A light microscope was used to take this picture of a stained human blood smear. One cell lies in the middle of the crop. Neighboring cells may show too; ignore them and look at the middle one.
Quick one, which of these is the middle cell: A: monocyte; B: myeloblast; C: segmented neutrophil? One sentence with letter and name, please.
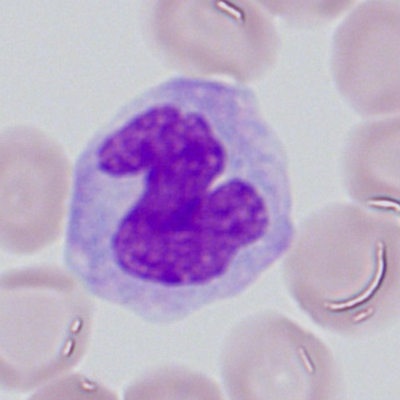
The one cell at the centre is a monocyte, as correctly stated in option A.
